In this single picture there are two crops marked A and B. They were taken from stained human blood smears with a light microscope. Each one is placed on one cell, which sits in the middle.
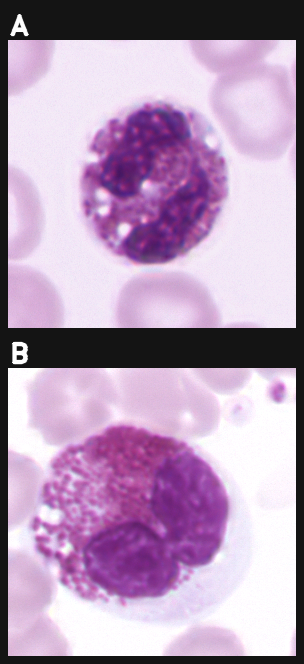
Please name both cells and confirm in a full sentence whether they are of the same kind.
Yes, both crops show eosinophils, with no exception.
